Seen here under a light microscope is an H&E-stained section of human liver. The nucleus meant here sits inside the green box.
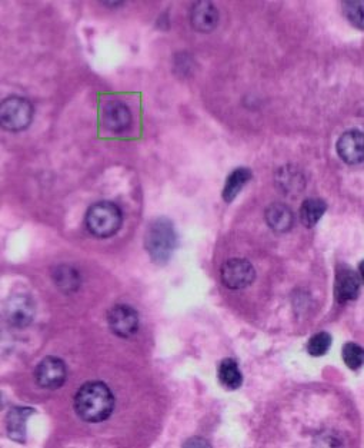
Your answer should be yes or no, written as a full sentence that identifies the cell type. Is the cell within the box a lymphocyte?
No, score the cell within the box as a hepatocyte; it is not a lymphocyte.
